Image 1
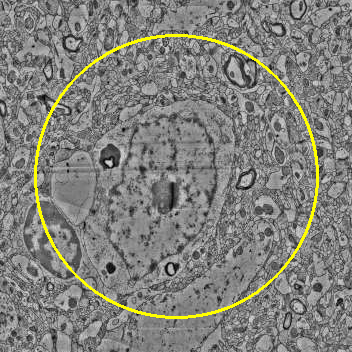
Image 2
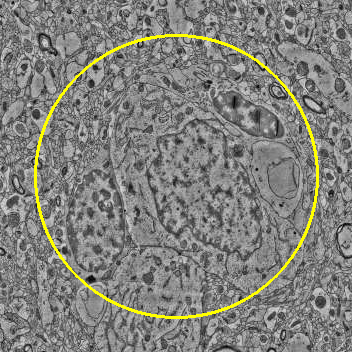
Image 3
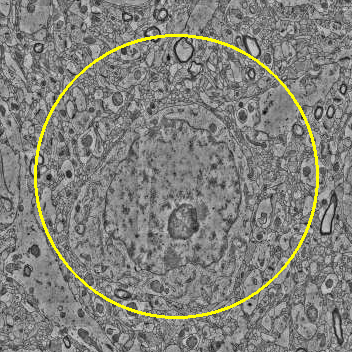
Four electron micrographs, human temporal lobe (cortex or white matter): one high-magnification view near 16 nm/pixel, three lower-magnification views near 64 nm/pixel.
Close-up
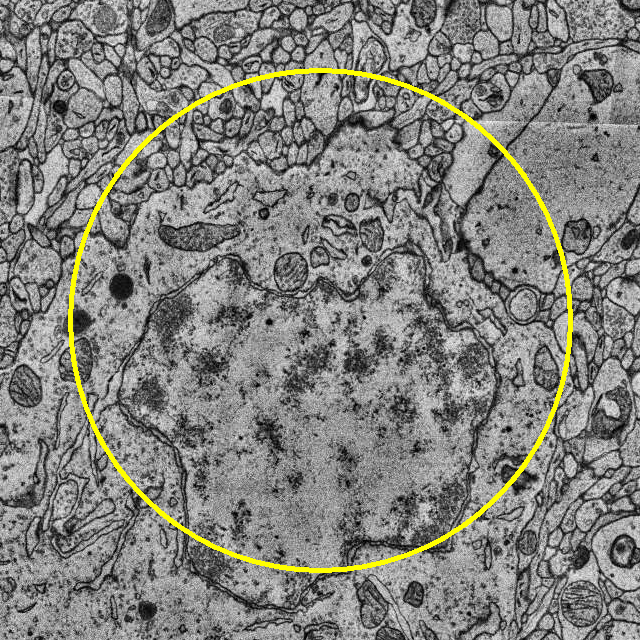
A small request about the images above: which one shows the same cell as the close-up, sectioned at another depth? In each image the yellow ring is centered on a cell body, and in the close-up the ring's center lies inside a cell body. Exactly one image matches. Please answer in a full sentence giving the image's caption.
The close-up was taken of the cell circled in Image 3.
